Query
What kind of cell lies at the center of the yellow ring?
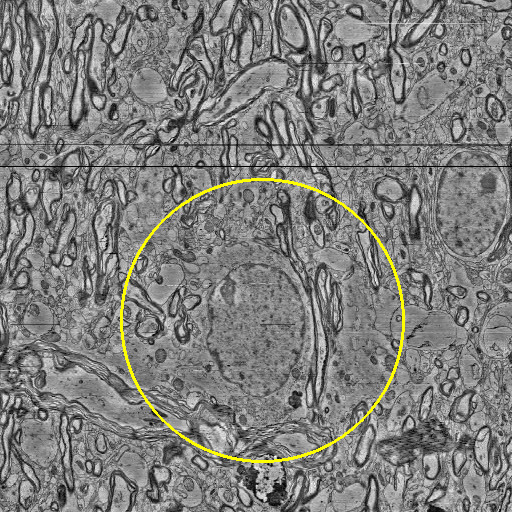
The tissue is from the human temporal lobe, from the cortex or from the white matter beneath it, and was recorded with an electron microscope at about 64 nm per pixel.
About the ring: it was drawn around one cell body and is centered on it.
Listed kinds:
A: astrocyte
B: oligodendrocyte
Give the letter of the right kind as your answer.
A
